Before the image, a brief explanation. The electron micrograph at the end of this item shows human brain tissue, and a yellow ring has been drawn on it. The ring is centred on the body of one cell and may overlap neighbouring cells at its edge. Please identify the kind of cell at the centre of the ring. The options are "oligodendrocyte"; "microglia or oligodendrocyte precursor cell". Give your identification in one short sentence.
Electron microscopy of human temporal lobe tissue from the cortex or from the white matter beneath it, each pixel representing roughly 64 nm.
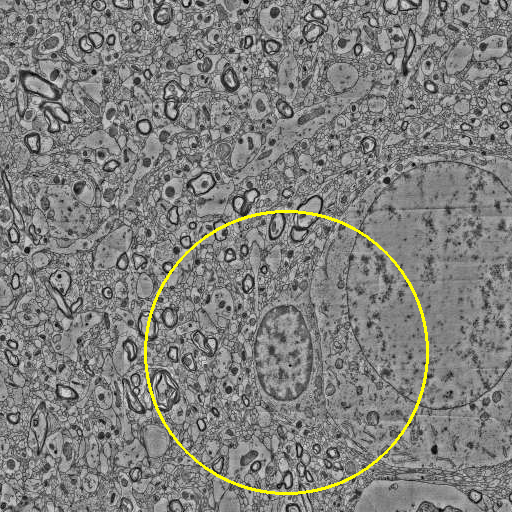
The ring has been placed around an oligodendrocyte.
